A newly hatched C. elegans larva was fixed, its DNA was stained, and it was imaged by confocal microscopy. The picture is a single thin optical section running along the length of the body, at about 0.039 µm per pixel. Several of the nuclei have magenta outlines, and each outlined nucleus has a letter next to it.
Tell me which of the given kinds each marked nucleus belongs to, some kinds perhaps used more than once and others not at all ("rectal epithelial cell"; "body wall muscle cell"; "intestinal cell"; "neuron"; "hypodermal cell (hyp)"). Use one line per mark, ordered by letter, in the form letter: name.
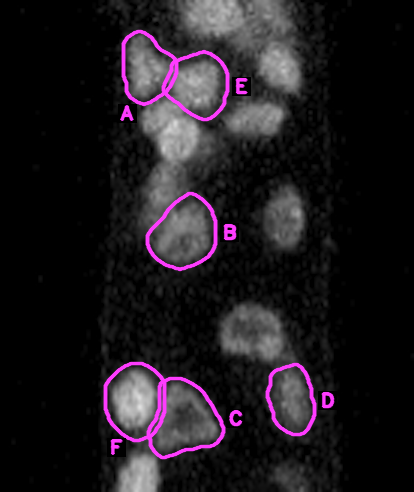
A: rectal epithelial cell
B: intestinal cell
C: intestinal cell
D: body wall muscle cell
E: rectal epithelial cell
F: neuron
